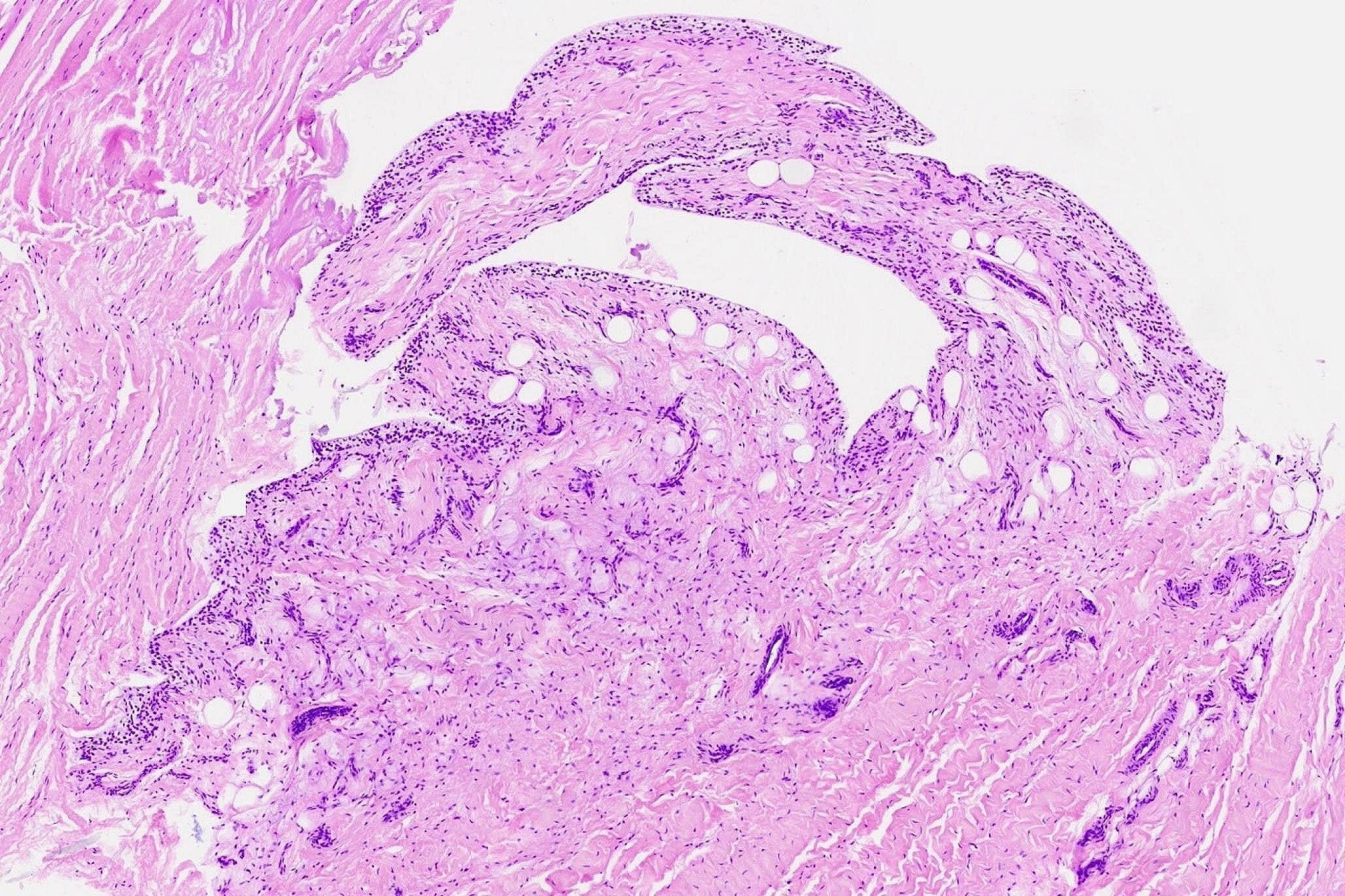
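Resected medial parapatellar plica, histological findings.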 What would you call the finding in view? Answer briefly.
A: Mild hyperplastic changes with slightly papillary architecture.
